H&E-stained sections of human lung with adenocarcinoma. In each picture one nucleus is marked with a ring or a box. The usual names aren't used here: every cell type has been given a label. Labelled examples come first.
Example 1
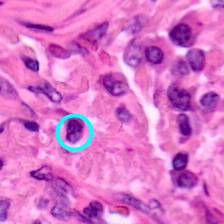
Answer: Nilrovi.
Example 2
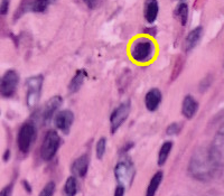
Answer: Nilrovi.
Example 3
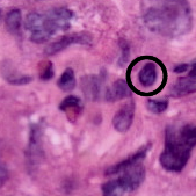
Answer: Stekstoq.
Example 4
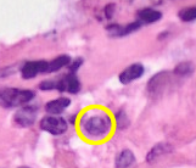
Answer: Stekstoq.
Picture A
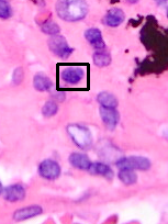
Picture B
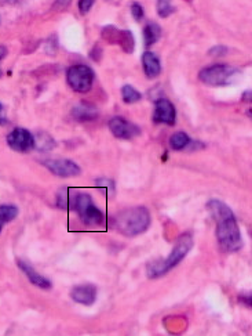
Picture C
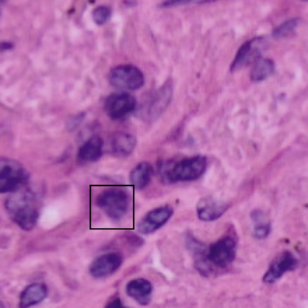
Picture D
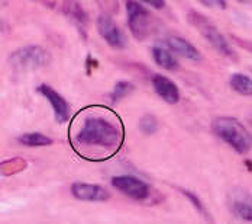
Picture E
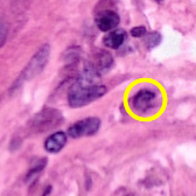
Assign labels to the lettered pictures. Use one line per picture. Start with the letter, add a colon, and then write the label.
A: Stekstoq.
B: Nilrovi.
C: Nilrovi.
D: Nilrovi.
E: Nilrovi.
